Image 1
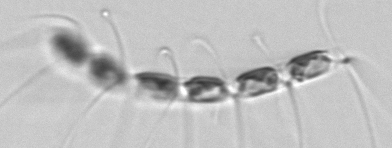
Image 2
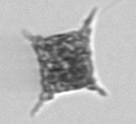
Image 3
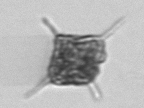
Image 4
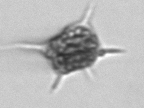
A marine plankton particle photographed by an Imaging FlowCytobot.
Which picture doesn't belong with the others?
Picture 1.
